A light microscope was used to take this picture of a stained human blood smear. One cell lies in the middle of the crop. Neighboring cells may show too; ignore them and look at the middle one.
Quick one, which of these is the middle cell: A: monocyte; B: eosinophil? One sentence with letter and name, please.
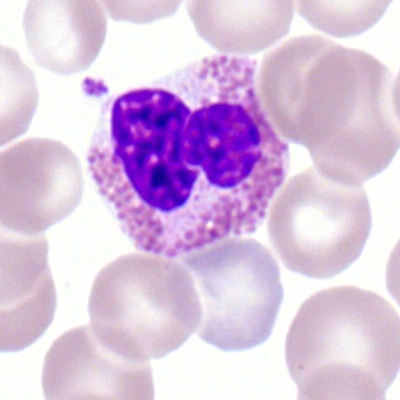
Option B is accurate; the centrally placed cell is an eosinophil.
